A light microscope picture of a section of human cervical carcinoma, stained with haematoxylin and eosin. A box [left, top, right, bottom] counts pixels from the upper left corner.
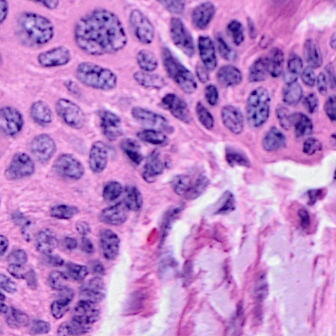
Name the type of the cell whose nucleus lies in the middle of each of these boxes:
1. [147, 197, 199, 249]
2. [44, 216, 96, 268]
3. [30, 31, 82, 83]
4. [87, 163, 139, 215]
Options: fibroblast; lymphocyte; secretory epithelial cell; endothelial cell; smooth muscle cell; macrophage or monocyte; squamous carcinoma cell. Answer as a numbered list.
1. endothelial cell
2. squamous carcinoma cell
3. squamous carcinoma cell
4. squamous carcinoma cell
